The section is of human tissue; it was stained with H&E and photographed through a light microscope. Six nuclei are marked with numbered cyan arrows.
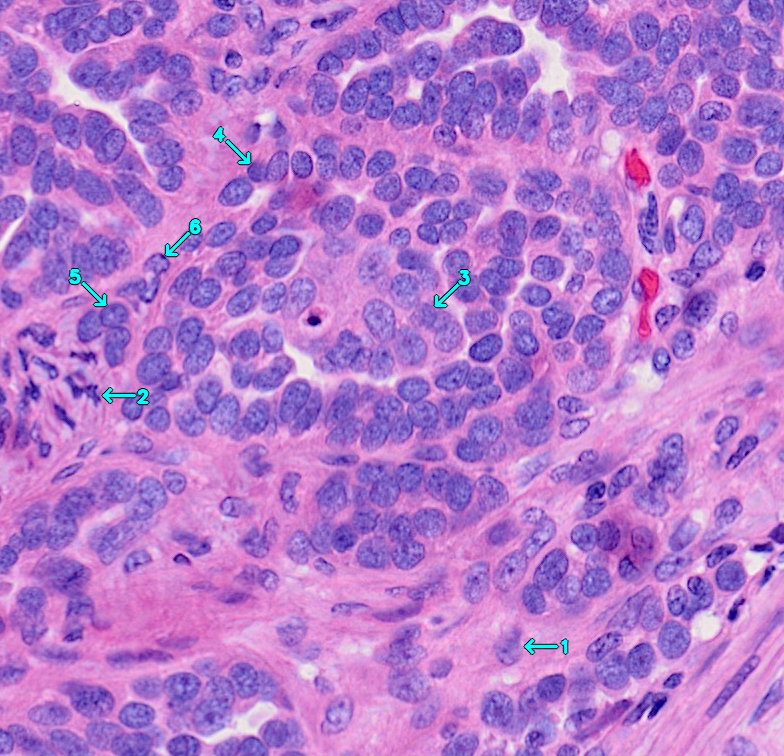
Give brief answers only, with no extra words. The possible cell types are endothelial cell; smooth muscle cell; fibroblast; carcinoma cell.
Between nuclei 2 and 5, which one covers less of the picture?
2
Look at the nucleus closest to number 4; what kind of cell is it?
carcinoma cell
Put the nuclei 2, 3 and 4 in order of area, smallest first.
2, 4, 3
